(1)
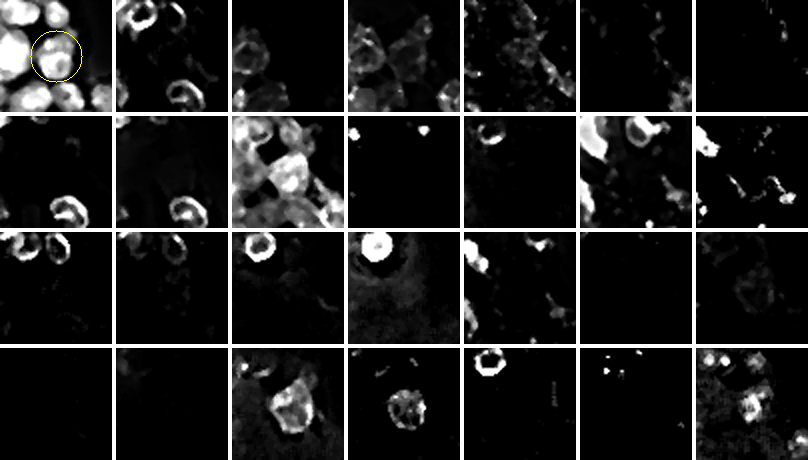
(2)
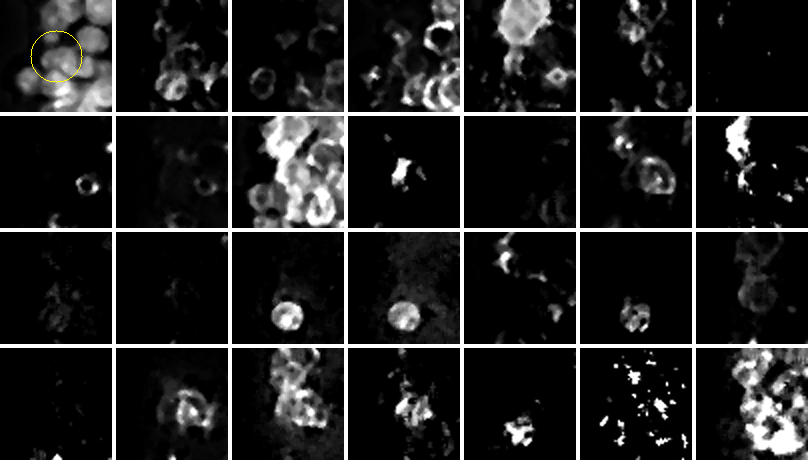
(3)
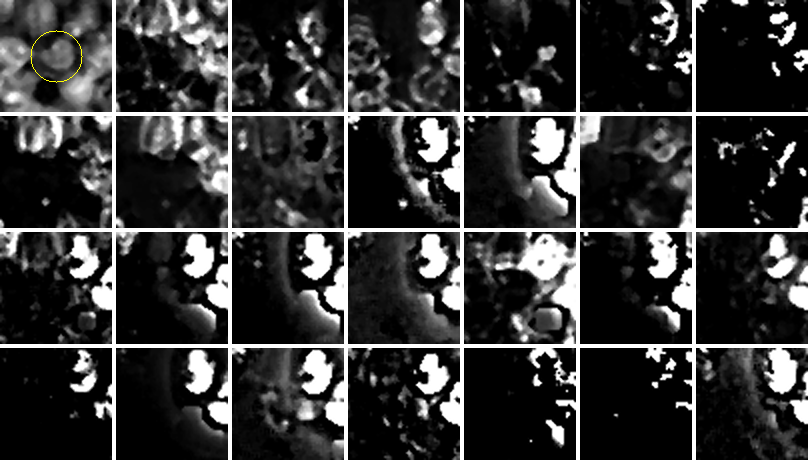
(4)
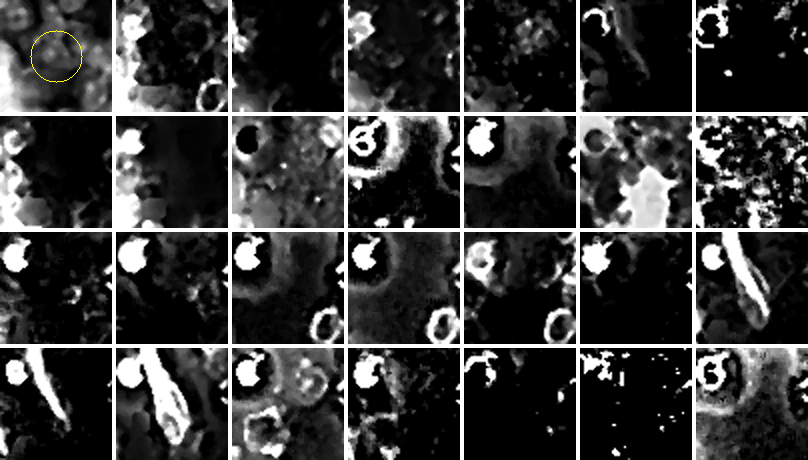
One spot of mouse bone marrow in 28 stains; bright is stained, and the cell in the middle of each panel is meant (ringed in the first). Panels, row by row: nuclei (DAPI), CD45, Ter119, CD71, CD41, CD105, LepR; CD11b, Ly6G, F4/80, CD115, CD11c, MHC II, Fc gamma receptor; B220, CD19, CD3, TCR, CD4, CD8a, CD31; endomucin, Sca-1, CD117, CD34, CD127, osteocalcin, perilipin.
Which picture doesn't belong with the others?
Picture 1.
